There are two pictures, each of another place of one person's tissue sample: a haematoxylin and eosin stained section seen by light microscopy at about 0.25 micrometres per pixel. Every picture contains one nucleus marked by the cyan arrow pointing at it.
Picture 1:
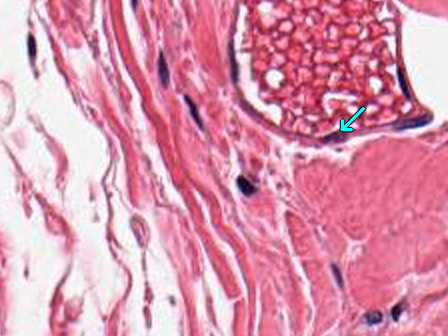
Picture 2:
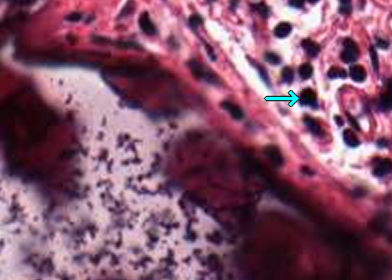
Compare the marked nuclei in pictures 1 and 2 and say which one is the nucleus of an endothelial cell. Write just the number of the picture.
1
